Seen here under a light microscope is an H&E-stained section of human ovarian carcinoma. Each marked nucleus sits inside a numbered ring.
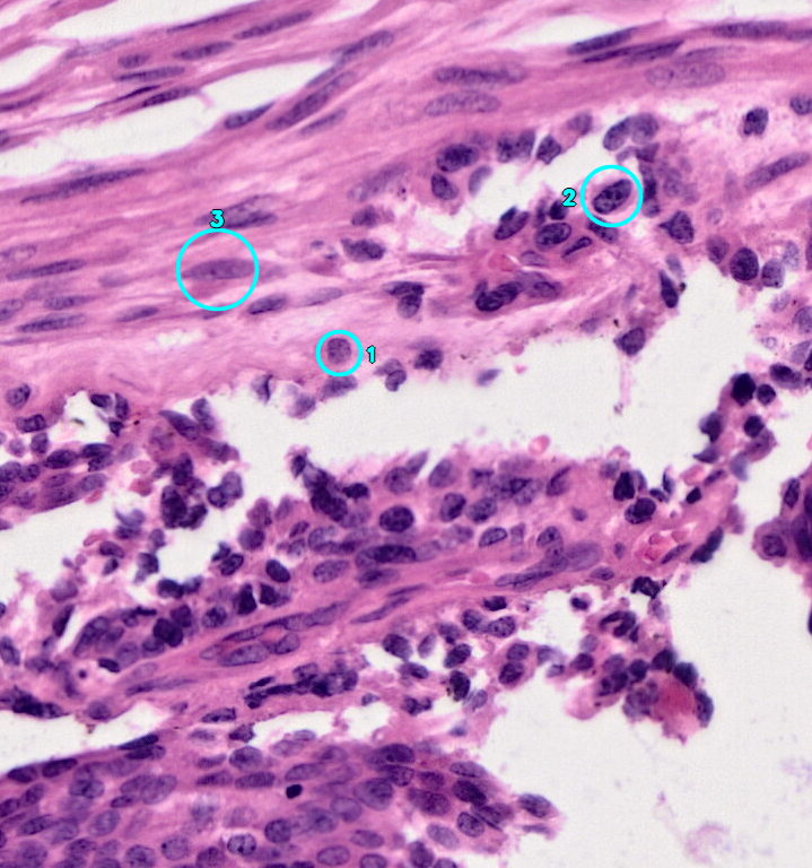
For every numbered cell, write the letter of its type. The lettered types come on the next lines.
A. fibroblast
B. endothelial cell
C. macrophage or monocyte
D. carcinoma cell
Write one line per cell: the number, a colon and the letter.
1: C
2: C
3: A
